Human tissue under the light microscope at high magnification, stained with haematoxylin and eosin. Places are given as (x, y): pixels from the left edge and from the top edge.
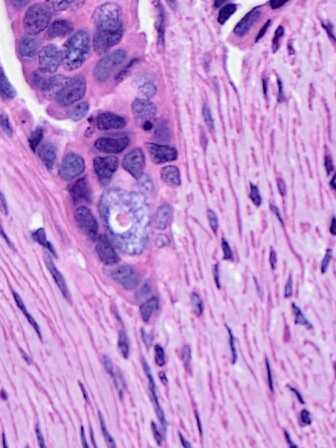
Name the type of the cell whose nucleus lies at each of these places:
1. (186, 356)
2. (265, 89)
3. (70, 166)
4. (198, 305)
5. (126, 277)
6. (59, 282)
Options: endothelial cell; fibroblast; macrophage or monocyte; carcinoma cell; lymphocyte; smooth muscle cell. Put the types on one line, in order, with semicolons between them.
fibroblast; fibroblast; carcinoma cell; fibroblast; carcinoma cell; fibroblast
